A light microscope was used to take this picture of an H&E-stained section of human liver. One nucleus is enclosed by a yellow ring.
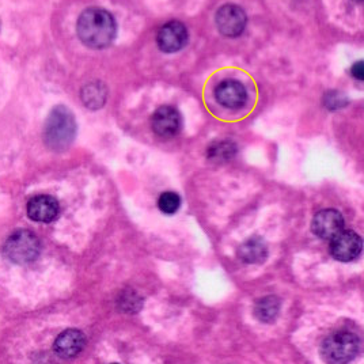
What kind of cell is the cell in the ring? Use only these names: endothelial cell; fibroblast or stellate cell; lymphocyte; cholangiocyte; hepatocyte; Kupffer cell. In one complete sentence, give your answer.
Students should answer that the cell in the ring is a hepatocyte.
